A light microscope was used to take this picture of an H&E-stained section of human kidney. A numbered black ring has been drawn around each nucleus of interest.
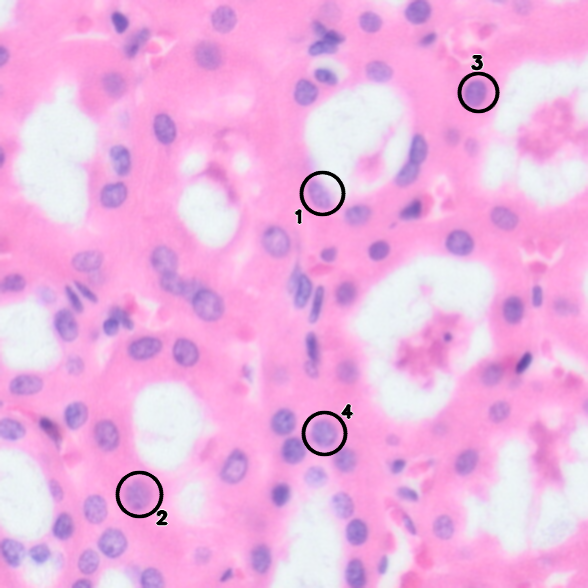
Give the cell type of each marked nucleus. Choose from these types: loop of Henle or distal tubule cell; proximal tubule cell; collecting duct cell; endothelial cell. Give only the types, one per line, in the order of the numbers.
loop of Henle or distal tubule cell
proximal tubule cell
proximal tubule cell
loop of Henle or distal tubule cell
